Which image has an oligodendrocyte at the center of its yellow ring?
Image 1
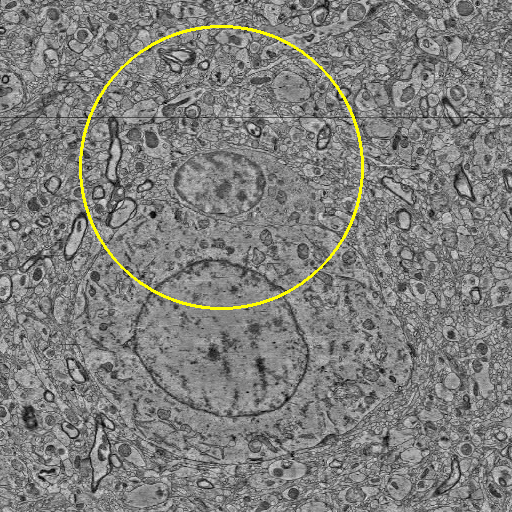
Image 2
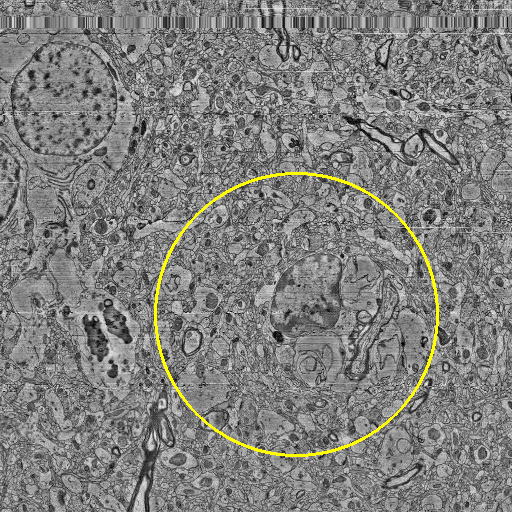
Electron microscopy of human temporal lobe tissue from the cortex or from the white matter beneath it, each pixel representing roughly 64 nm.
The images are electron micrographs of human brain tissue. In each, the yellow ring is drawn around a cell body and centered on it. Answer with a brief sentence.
It is at the center of the ring in Image 1.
